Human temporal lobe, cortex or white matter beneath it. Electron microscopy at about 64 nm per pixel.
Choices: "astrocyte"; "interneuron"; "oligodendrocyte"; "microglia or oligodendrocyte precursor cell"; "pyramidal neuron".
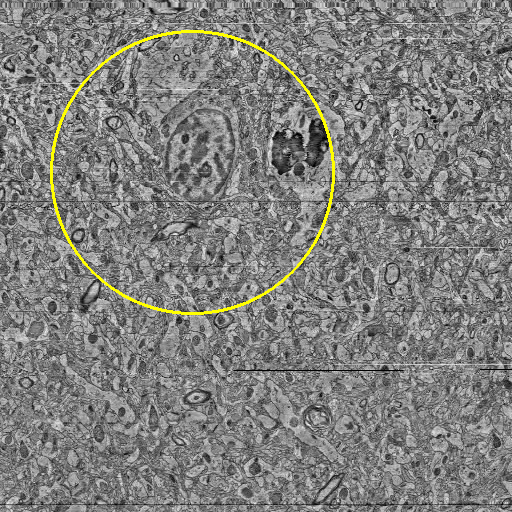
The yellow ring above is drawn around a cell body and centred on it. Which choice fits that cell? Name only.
oligodendrocyte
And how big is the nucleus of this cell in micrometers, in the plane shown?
In this plane, the nucleus is roughly 6 by 4 micrometres.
